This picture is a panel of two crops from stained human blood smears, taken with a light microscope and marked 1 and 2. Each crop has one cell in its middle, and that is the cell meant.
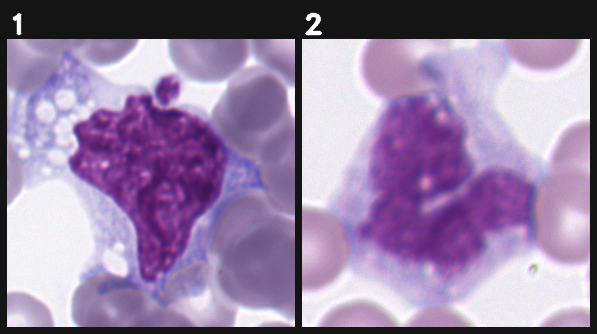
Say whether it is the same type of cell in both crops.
yes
